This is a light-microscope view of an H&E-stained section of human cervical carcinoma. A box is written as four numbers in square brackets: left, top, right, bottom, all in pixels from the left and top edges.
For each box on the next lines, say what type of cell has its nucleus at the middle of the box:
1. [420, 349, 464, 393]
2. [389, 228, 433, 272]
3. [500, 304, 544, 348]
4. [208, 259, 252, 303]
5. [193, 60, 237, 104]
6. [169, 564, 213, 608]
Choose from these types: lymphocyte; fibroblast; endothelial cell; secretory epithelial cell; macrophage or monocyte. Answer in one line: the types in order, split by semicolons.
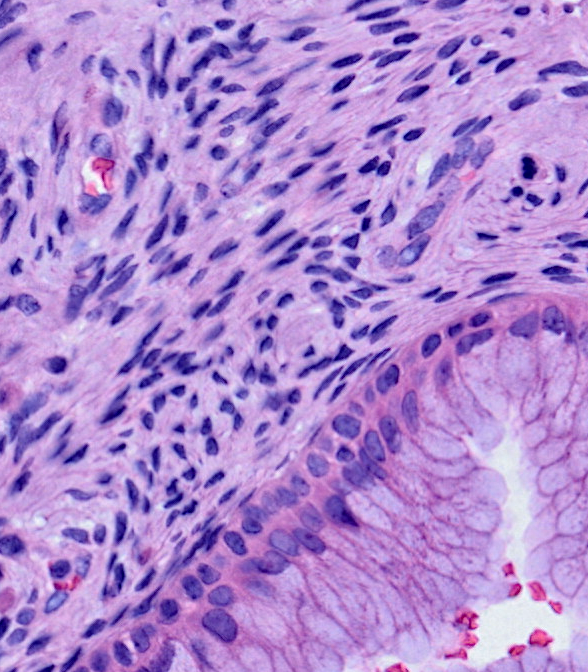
secretory epithelial cell; endothelial cell; secretory epithelial cell; fibroblast; fibroblast; secretory epithelial cell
